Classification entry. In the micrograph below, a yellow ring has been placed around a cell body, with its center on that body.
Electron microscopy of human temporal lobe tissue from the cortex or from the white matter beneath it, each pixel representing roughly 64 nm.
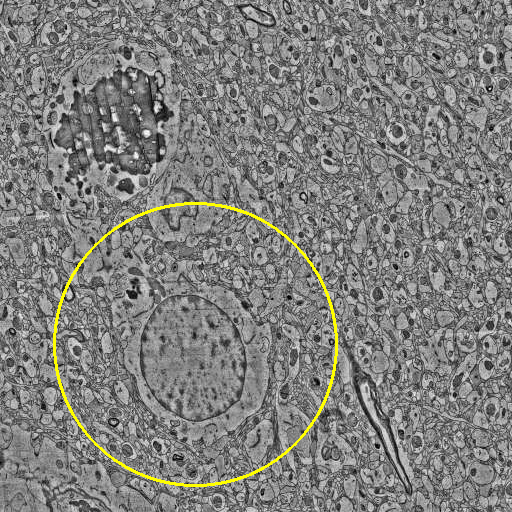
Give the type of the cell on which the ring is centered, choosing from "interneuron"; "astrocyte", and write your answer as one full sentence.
The cell body at the center of the yellow ring belongs to an astrocyte.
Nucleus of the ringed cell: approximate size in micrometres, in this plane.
About 8 micrometres by about 7 micrometres in this plane.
